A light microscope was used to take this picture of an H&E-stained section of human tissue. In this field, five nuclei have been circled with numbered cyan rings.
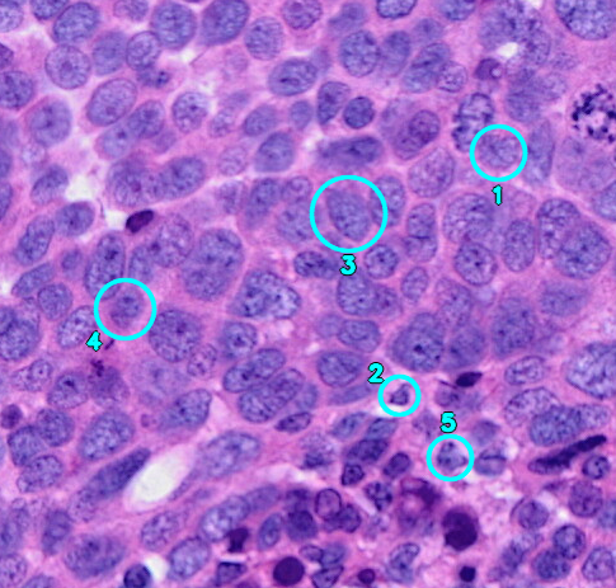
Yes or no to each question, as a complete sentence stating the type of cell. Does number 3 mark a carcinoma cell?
Yes, in this tissue section, number 3 is a carcinoma cell.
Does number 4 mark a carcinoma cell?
Yes, the marked cell numbered 4 is a carcinoma cell.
